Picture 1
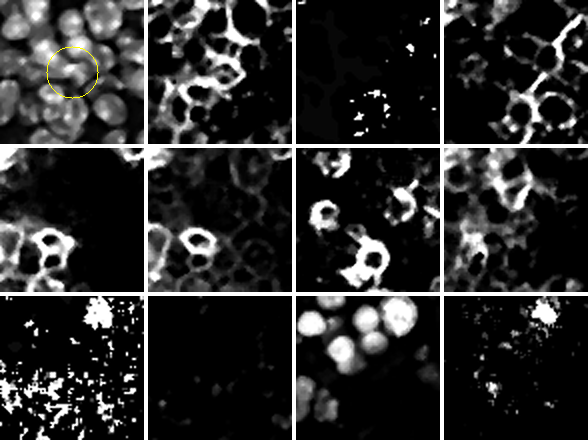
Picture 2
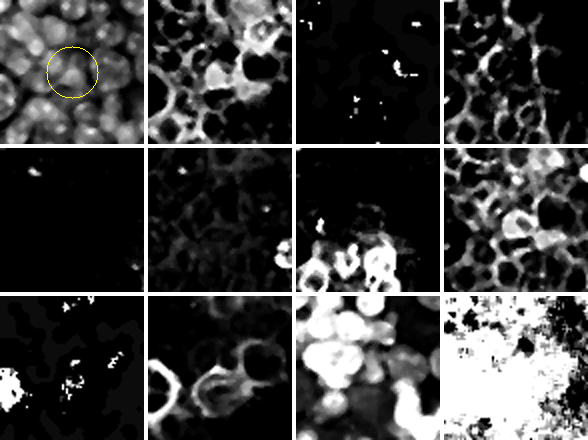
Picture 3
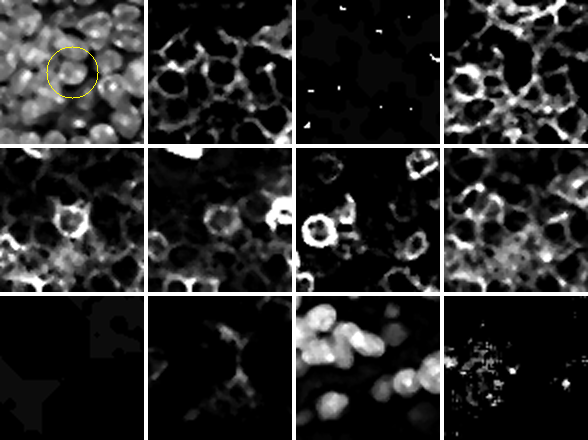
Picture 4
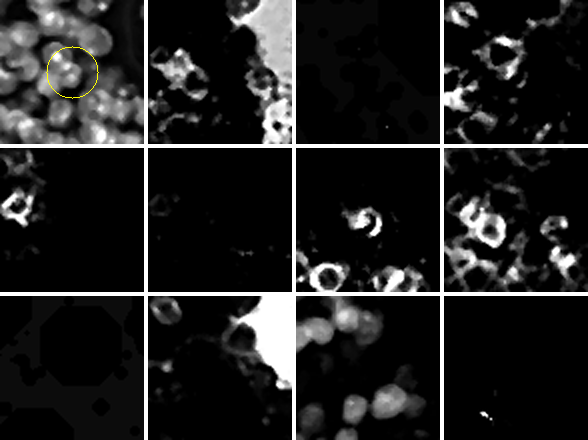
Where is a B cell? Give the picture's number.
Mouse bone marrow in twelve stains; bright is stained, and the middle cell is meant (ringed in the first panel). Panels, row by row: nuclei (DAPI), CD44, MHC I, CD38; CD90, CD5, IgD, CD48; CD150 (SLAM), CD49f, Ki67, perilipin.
4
